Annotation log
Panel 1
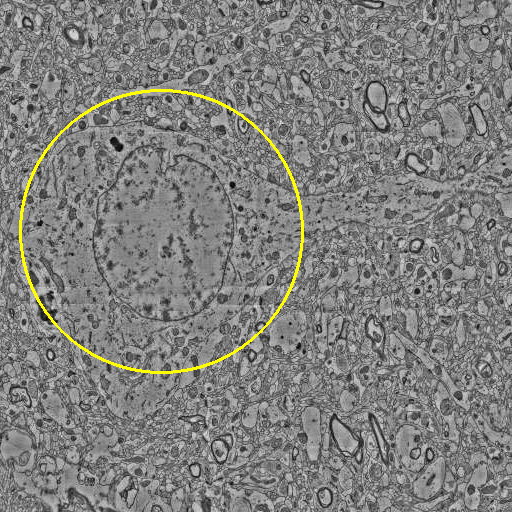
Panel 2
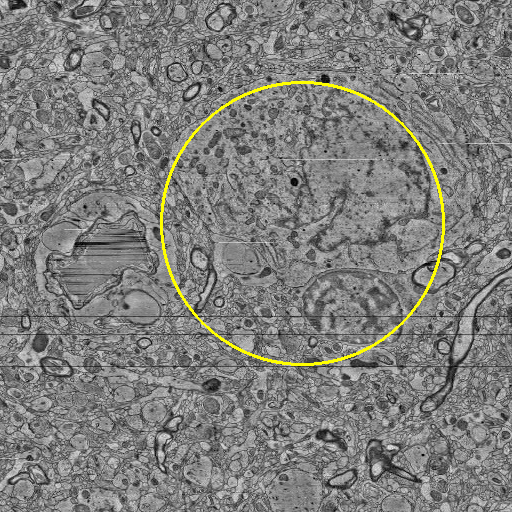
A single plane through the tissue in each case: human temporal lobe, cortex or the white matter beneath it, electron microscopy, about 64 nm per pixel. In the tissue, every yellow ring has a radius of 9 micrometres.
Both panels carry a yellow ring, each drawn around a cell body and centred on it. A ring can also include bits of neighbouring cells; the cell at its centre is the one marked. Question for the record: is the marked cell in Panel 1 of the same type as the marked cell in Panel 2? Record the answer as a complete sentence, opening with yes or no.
No, the marked cells in Panel 1 and Panel 2 are of two types.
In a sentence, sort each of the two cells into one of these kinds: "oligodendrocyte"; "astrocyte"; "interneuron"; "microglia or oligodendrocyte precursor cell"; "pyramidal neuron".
The first of the two cells is a pyramidal neuron, and the second is an interneuron.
